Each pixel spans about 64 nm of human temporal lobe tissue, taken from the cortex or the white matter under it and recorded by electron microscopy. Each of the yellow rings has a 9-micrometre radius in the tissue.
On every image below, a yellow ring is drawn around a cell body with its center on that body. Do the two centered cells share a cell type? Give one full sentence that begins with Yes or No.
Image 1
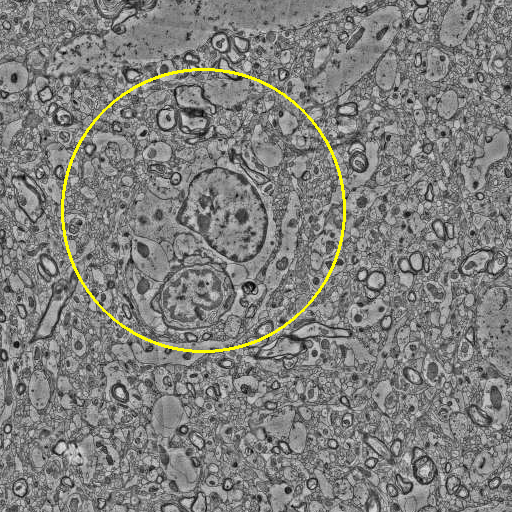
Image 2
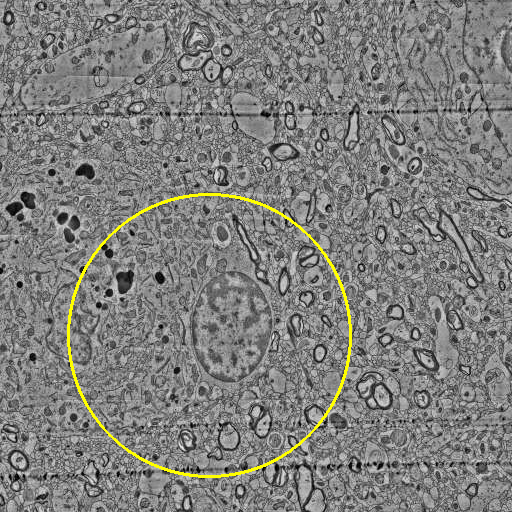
No, the centered cells in the two images are of two separate cell types.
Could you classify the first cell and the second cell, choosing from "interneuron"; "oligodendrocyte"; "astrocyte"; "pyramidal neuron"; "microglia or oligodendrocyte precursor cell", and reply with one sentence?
The second cell is an oligodendrocyte, while the first is a microglial cell or oligodendrocyte precursor cell.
